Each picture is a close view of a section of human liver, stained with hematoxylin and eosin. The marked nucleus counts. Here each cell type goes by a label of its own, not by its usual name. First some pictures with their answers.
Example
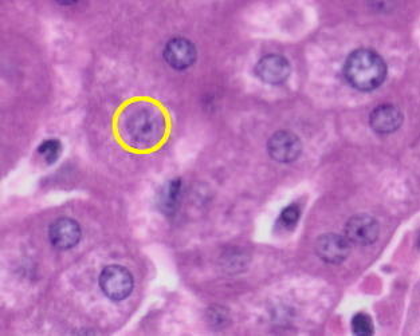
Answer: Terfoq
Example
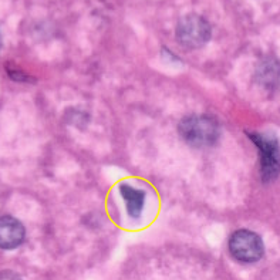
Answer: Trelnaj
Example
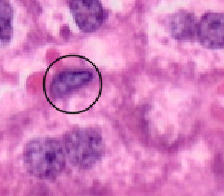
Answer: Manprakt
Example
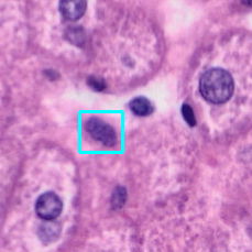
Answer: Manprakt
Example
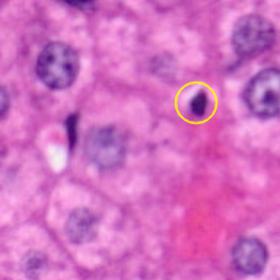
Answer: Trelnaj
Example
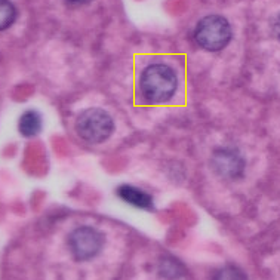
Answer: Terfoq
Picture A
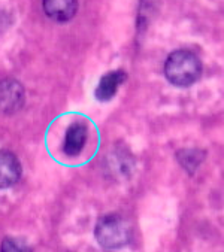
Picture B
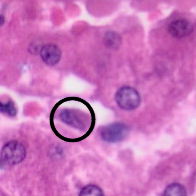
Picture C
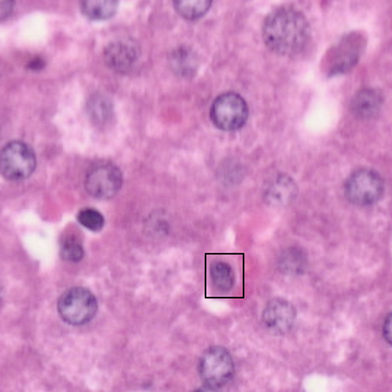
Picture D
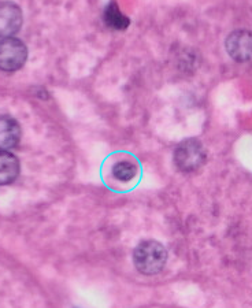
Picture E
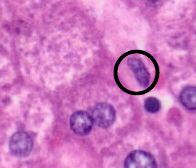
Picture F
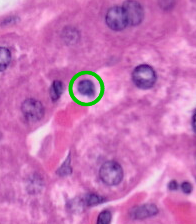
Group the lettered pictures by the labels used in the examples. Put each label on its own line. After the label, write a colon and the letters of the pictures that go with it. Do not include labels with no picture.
Trelnaj: A, D, F
Manprakt: B, C, E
